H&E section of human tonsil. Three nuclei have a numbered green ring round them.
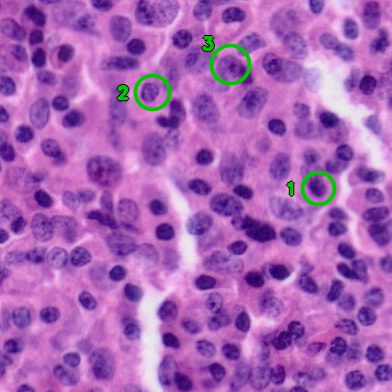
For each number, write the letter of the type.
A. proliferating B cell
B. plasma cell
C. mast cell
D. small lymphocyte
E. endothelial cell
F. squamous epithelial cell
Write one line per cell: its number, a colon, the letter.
1: B
2: B
3: F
